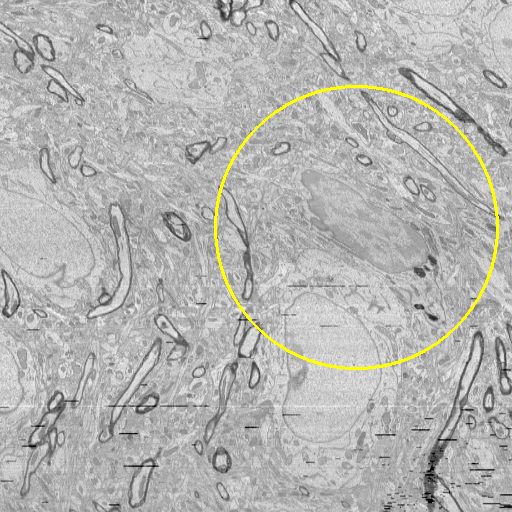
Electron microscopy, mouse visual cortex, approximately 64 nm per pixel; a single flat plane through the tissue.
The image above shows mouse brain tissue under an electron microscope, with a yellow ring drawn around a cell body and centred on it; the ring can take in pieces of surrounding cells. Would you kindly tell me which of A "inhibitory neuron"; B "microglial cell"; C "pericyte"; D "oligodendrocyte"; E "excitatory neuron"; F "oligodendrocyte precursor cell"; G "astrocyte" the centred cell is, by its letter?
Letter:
B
